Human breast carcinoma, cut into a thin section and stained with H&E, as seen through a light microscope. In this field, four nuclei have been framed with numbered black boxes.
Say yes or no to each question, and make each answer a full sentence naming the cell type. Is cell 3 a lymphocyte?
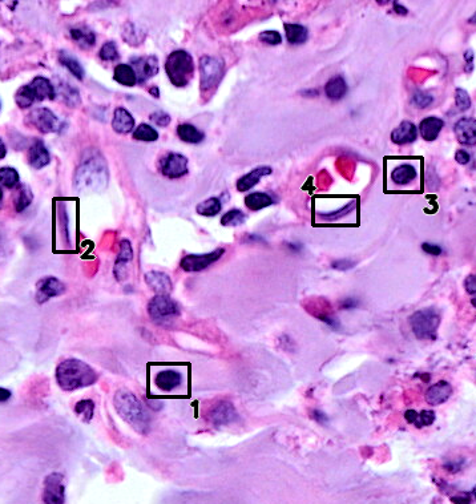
Yes, the cell bearing the number 3 is a lymphocyte.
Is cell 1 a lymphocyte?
Yes, the cell at marker 1 is a lymphocyte.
